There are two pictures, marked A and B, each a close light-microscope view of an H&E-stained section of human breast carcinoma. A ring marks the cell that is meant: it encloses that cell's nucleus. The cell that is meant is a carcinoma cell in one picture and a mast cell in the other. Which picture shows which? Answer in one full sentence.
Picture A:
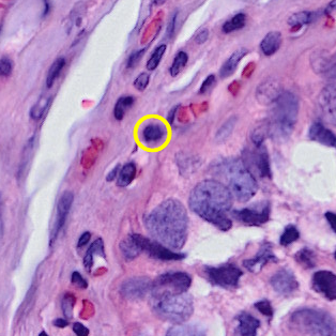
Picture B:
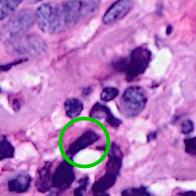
The cell in picture A is a mast cell, and the one in picture B is a carcinoma cell.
